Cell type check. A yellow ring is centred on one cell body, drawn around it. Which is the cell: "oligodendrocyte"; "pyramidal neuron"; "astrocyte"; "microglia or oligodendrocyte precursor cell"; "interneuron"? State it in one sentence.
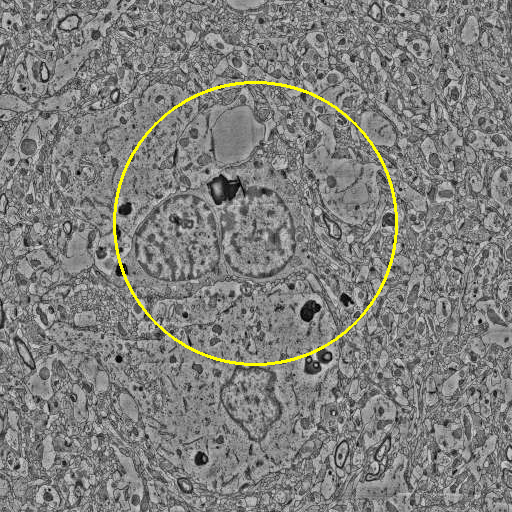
The cell body at the ring's centre belongs to an oligodendrocyte.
